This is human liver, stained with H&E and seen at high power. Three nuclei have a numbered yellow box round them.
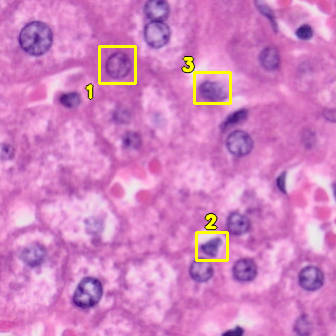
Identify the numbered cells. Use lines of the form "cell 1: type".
cell 1: hepatocyte
cell 2: endothelial cell
cell 3: Kupffer cell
